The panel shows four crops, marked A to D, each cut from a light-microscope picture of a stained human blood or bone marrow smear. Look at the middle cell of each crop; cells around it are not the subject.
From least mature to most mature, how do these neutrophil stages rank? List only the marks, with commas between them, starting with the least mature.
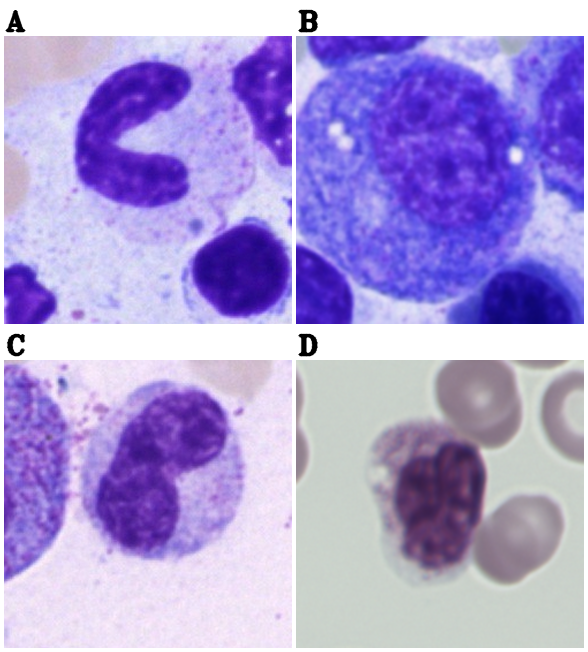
B, C, A, D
